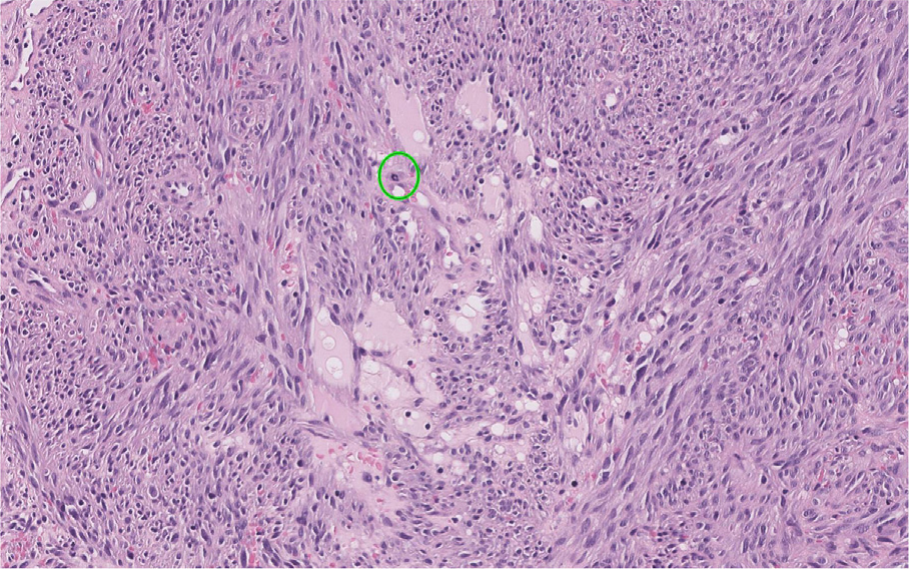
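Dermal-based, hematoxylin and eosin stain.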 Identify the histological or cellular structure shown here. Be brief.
Intersecting fascicles of atypical spindle cells.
